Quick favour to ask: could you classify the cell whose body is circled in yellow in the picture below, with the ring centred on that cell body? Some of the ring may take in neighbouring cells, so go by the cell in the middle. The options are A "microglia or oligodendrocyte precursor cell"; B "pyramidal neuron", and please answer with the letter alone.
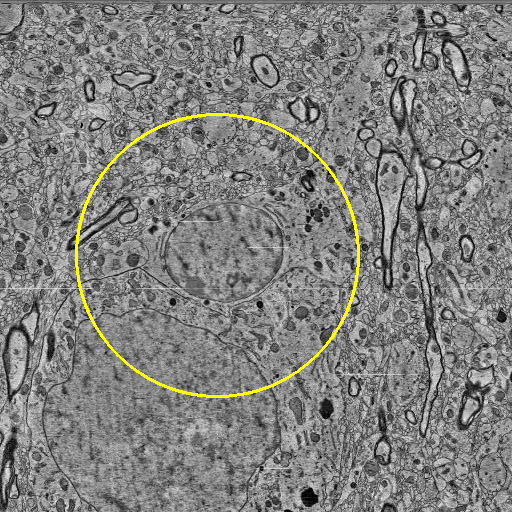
A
